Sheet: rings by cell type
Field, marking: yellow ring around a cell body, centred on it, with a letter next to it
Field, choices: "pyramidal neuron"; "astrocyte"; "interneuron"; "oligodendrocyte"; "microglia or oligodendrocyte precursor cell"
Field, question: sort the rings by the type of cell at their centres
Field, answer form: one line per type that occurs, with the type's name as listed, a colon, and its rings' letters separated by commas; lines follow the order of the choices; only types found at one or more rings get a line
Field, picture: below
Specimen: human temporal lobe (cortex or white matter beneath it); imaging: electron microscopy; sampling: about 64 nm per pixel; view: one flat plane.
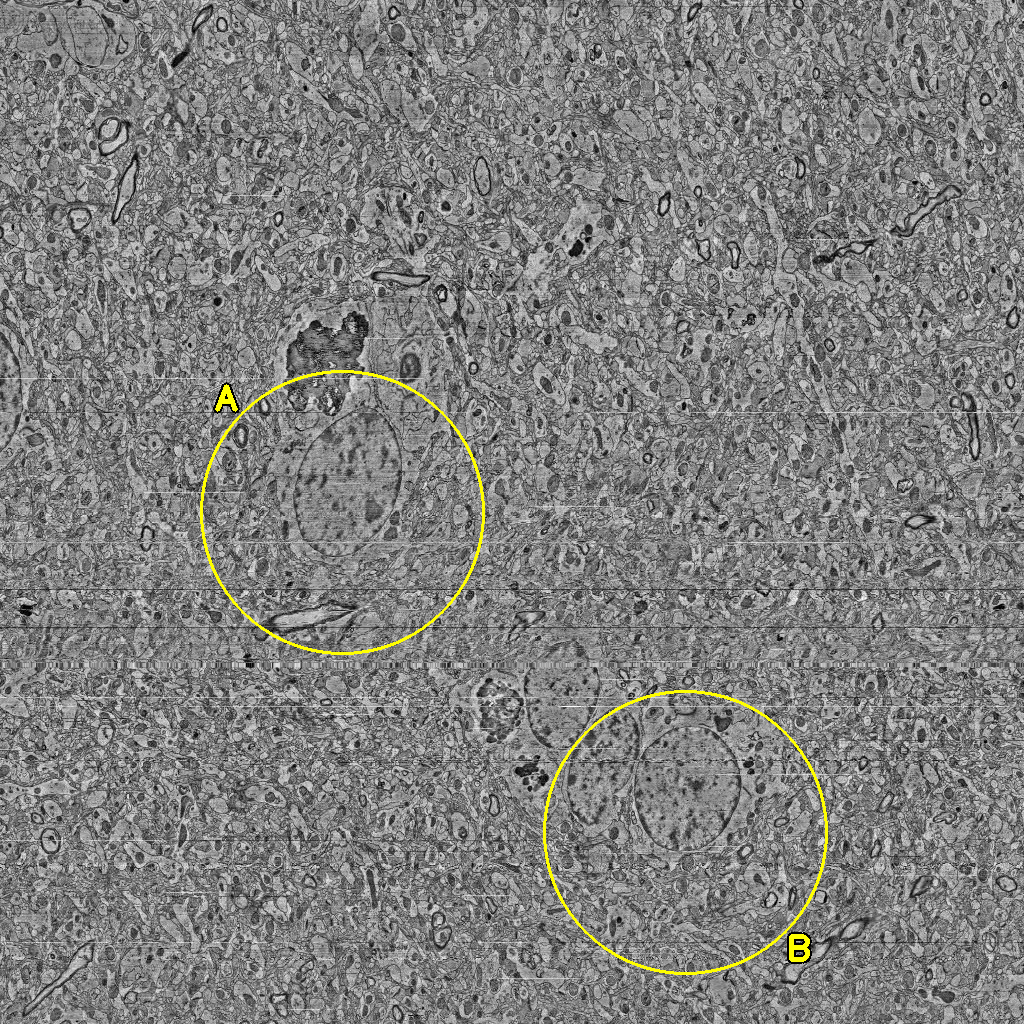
astrocyte: A, B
